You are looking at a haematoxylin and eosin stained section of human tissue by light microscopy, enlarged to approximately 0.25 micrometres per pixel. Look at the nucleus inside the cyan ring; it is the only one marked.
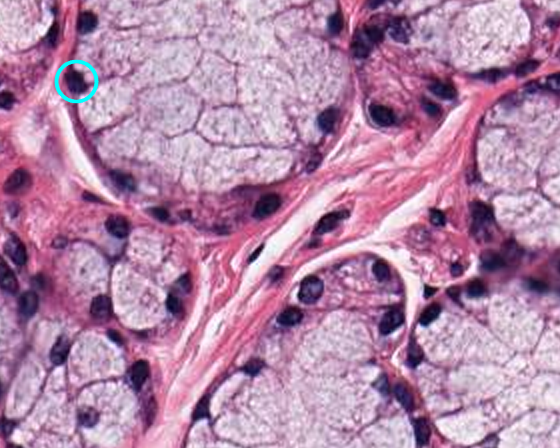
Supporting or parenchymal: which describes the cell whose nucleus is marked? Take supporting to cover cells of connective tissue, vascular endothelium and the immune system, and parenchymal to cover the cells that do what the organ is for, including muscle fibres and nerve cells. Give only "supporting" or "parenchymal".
parenchymal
